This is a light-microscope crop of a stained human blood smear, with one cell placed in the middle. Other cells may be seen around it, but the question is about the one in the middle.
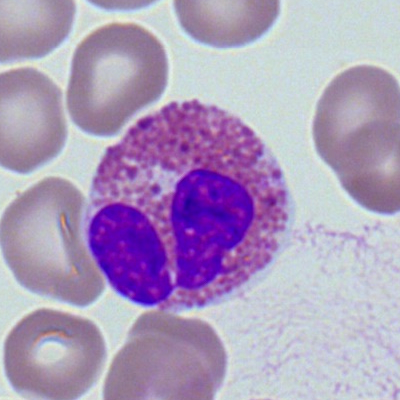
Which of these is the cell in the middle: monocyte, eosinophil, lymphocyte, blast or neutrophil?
eosinophil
